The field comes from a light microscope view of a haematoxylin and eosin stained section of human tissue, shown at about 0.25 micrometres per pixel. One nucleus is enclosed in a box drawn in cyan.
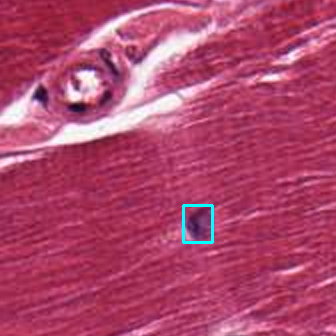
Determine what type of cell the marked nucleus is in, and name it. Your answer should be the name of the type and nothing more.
skeletal muscle fibre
